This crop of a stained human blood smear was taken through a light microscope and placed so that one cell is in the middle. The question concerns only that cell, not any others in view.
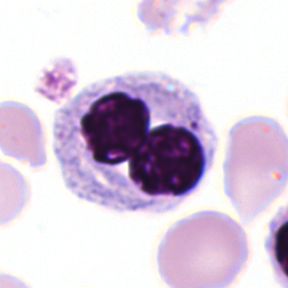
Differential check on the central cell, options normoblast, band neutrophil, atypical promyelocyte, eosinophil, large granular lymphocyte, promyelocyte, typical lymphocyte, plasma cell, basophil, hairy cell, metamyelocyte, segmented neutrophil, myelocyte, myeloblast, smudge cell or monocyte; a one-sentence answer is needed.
The middle of this crop is occupied by a normoblast.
